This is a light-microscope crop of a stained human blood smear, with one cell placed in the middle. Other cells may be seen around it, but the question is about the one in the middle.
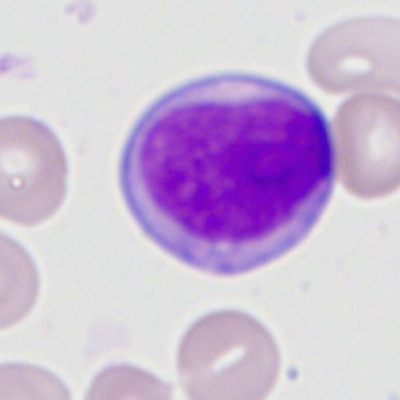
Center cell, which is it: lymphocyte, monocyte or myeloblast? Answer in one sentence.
Classification of the middle cell gives a myeloblast.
